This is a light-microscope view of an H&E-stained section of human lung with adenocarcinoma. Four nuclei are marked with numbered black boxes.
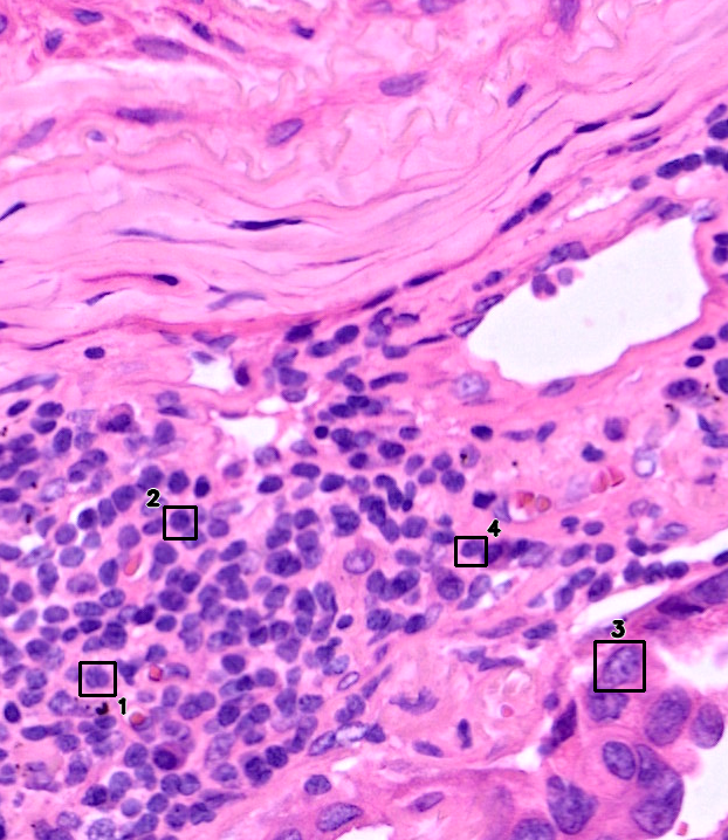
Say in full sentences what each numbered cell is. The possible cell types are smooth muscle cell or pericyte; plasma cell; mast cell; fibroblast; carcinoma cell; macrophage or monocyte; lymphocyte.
Cells 1, 2 and 4 are lymphocytes. Cell 3 is a carcinoma cell.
